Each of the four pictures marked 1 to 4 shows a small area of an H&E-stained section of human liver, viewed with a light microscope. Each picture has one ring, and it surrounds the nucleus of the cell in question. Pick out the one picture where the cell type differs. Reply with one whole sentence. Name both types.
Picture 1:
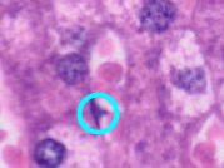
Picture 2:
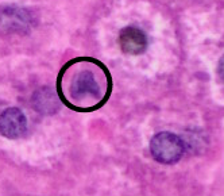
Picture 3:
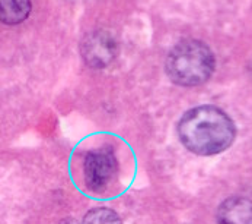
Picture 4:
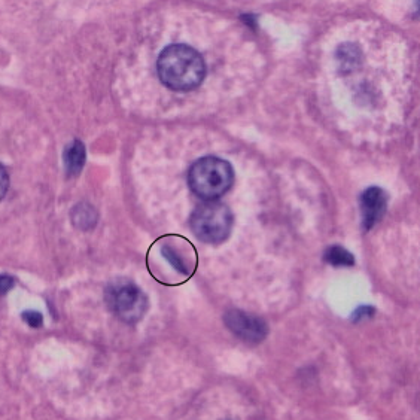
Picture 3 differs, because its cell is a “fibroblast or stellate cell” and the rest are endothelial cells.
